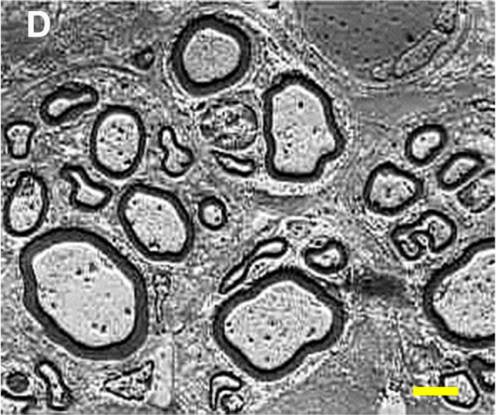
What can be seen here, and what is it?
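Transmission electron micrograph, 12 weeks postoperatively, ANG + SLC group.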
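Cross-sectioned myelinated axons of widely varying size, from small to large, each ringed by a dark, electron-dense myelin sheath. The larger axons have pale, lightly granular axoplasm with scattered small dark dots, and the sheaths are fairly thin relative to the axon width. Some small profiles are irregular or flattened. The fibers are separated by a grey, finely textured matrix containing cell processes.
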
